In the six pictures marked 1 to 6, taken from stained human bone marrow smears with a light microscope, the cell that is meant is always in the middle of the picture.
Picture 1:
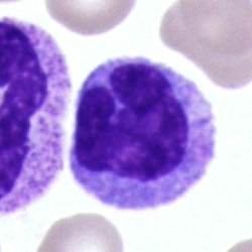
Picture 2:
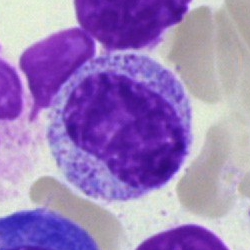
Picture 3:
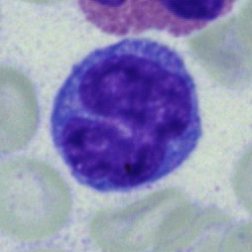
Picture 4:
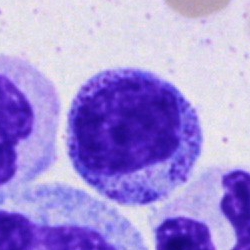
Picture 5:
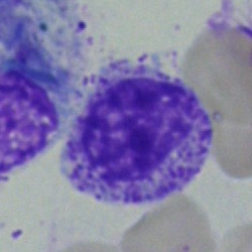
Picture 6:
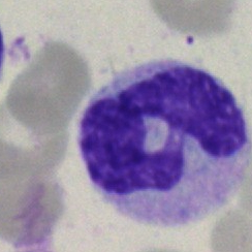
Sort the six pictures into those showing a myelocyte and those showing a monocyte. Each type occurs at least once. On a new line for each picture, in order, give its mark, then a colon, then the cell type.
1: monocyte
2: myelocyte
3: monocyte
4: myelocyte
5: myelocyte
6: monocyte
